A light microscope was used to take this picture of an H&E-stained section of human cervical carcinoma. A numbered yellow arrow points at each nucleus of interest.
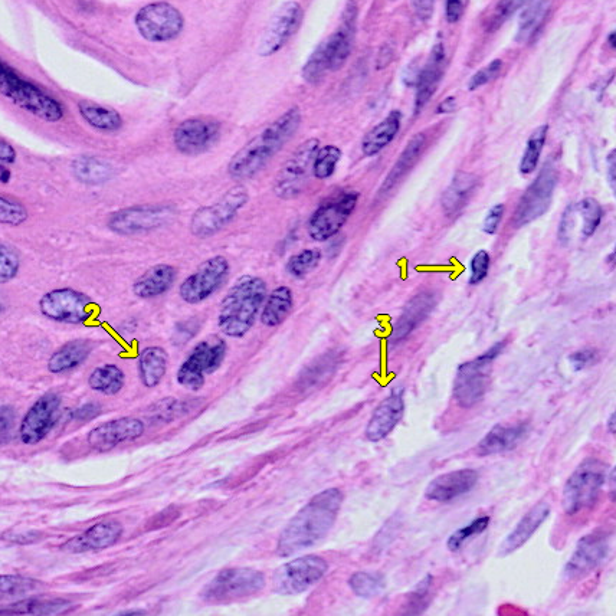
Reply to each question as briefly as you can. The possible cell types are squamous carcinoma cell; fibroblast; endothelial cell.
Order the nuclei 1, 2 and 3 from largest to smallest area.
3, 2, 1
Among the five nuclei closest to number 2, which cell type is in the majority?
squamous carcinoma cell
